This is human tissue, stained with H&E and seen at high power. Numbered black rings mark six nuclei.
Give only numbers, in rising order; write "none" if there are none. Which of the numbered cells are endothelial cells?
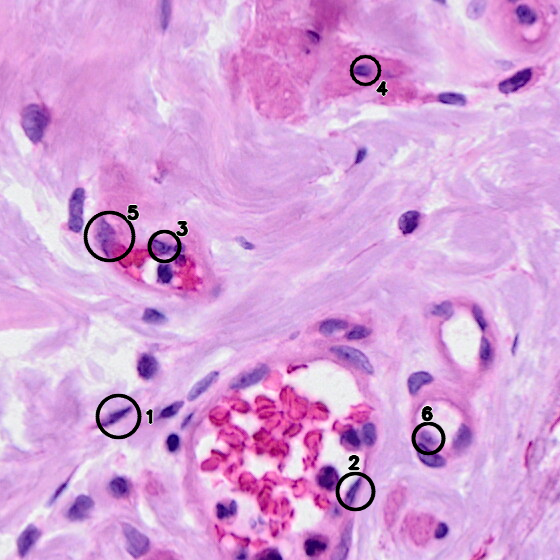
2, 3, 5, 6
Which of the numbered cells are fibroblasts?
1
